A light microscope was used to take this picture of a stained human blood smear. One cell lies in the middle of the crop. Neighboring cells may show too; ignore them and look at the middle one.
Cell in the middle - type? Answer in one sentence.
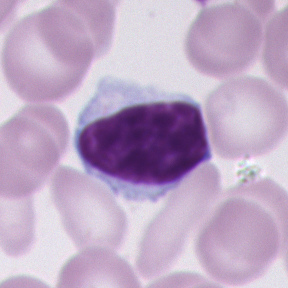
Within this crop, a lymphocyte occupies the central position.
